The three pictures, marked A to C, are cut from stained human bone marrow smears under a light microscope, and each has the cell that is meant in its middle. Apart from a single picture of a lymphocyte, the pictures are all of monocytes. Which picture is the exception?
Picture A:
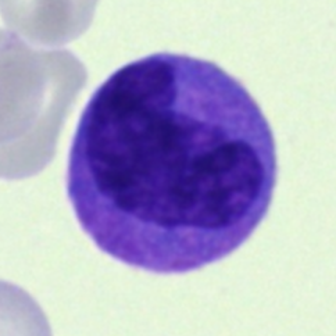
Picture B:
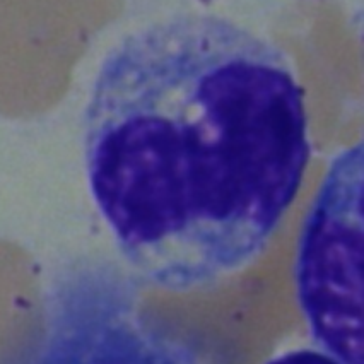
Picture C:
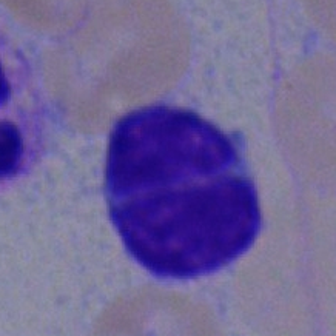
C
